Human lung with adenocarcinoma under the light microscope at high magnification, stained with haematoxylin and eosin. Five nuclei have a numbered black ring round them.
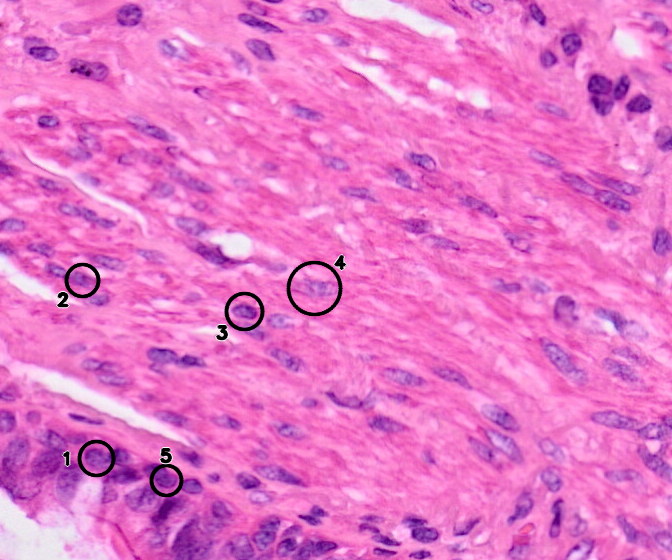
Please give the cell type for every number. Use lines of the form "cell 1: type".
cell 1: ciliated epithelial cell
cell 2: smooth muscle cell or pericyte
cell 3: mast cell
cell 4: smooth muscle cell or pericyte
cell 5: ciliated epithelial cell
